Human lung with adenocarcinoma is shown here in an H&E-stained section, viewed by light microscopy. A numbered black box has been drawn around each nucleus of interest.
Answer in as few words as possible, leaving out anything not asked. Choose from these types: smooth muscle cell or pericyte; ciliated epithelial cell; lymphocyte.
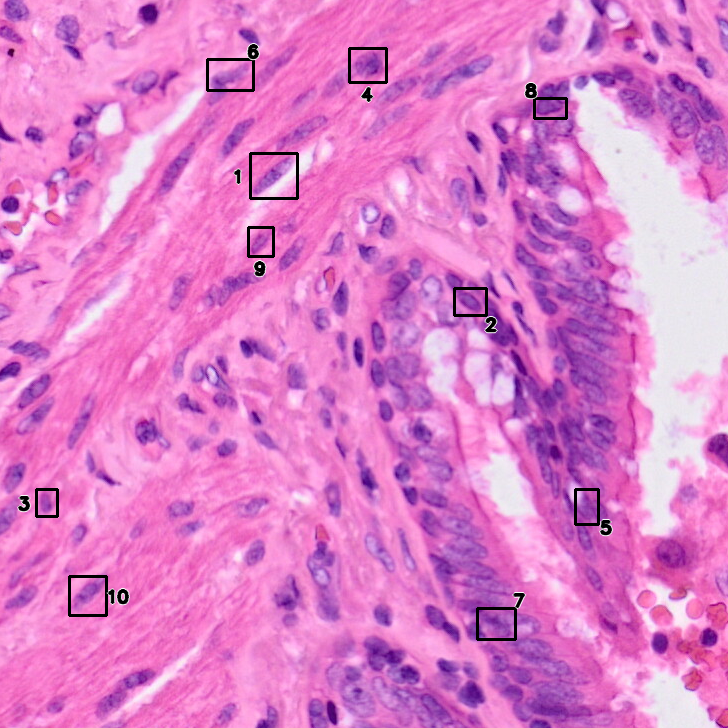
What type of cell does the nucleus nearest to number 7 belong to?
lymphocyte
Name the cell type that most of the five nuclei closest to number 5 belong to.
ciliated epithelial cell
